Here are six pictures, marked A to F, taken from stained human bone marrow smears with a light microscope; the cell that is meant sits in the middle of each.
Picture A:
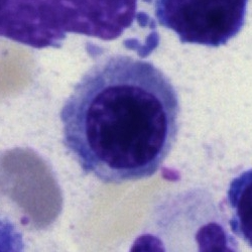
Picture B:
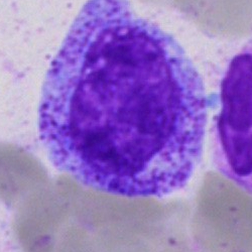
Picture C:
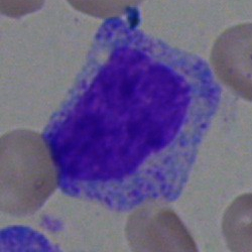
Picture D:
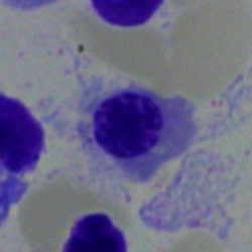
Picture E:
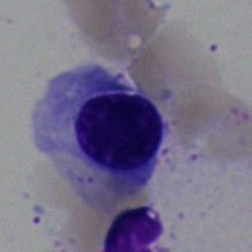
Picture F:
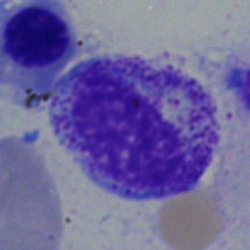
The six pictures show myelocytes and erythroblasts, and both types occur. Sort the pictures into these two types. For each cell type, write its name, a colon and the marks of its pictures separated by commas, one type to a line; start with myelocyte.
myelocyte: B, C, F
erythroblast: A, D, E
